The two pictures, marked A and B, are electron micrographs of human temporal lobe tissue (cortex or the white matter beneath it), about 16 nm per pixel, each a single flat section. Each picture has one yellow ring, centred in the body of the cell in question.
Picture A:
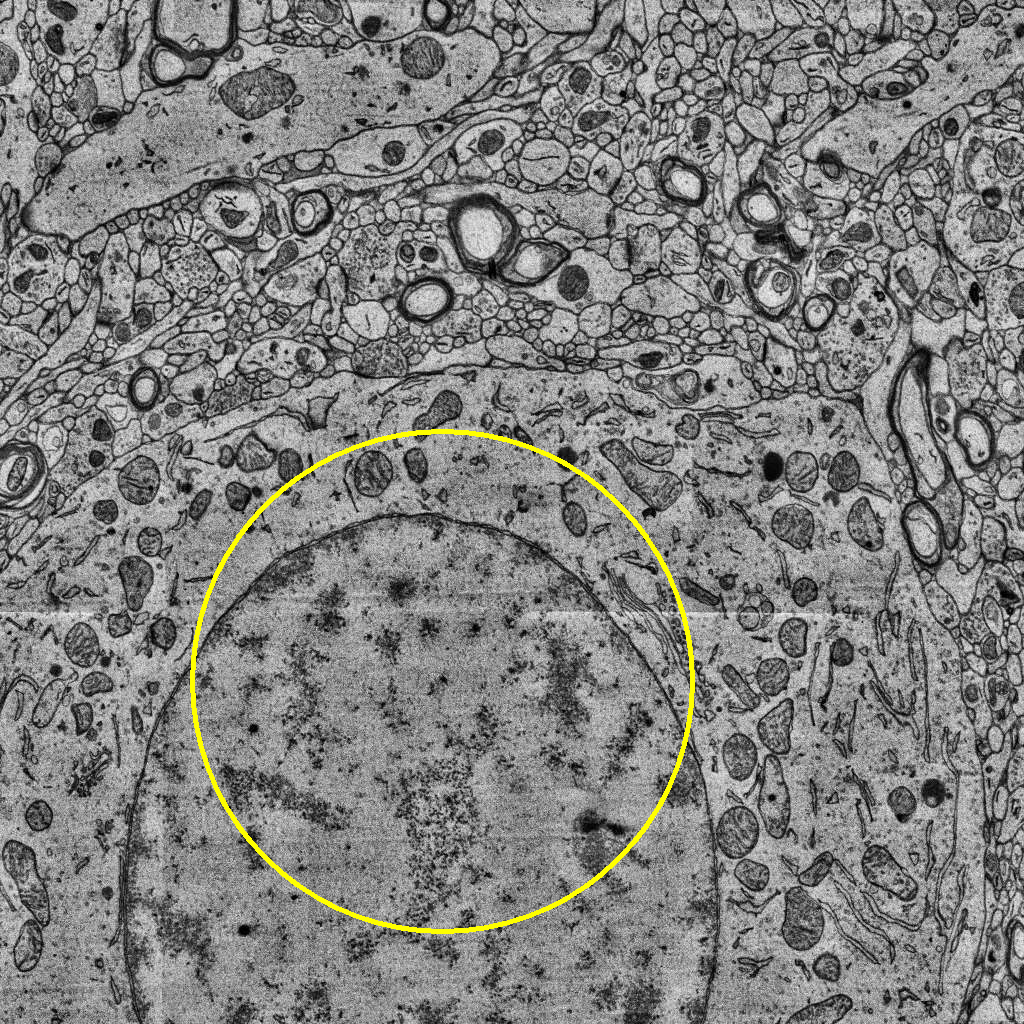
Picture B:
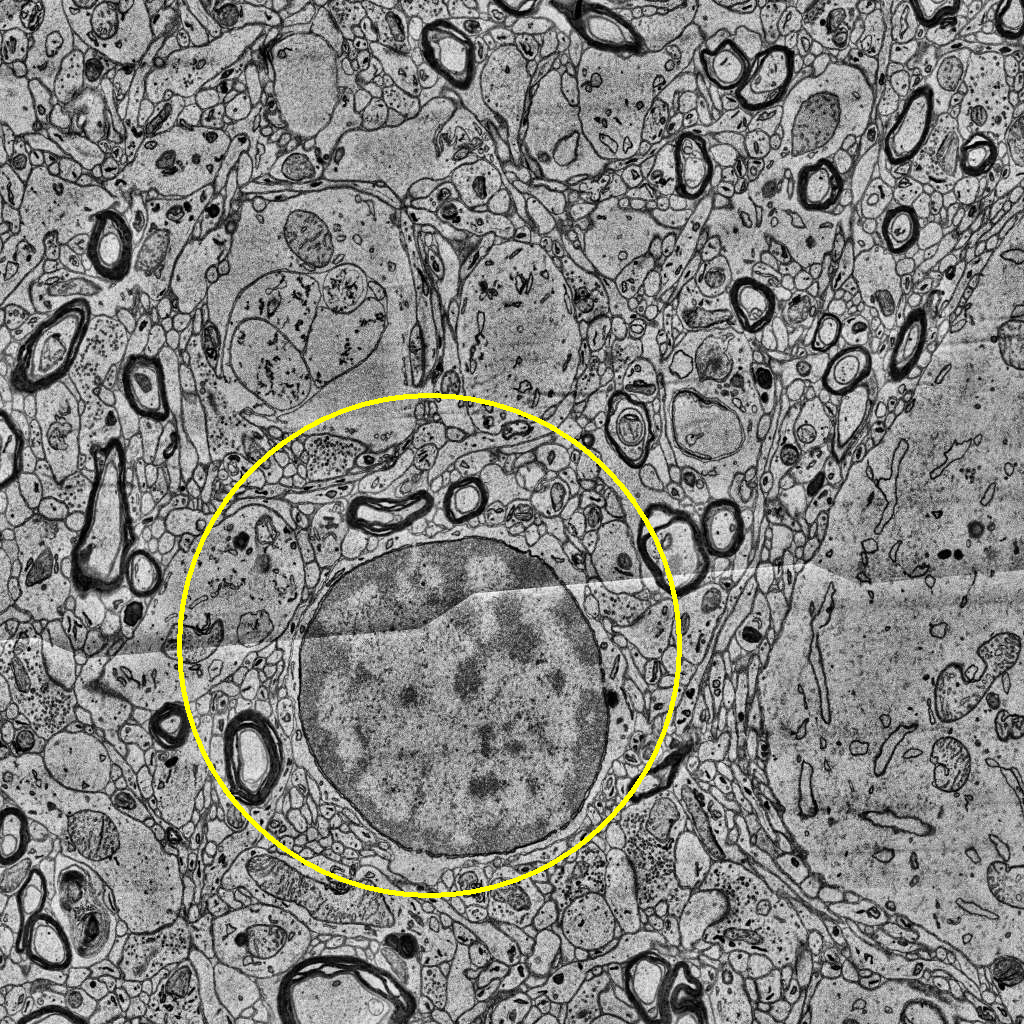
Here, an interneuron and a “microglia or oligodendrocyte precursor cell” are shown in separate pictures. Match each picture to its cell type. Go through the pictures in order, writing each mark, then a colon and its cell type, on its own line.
A: interneuron
B: microglia or oligodendrocyte precursor cell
